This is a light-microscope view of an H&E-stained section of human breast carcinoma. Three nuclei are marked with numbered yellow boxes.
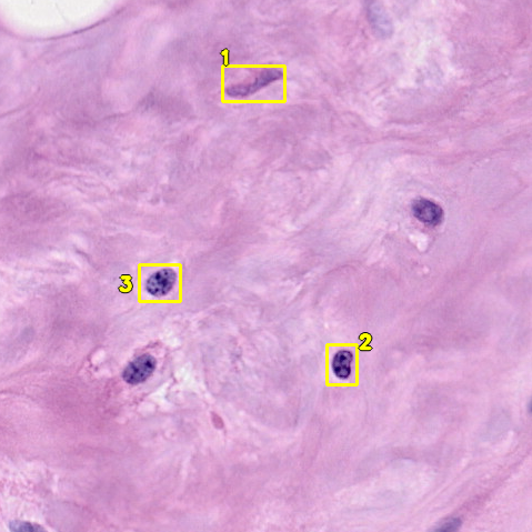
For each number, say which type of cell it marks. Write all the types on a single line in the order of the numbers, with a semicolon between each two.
fibroblast; lymphocyte; mast cell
